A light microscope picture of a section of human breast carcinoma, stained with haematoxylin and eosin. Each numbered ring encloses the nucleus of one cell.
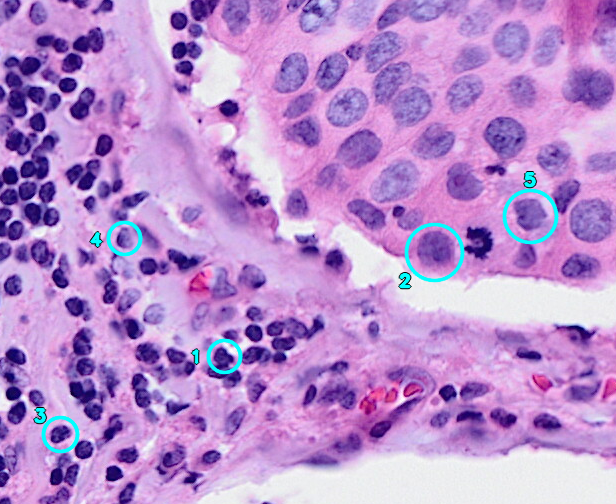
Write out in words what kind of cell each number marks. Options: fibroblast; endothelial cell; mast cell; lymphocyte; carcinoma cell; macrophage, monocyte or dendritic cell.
Cells 1, 3 and 4 are lymphocytes. Cells 2 and 5 are carcinoma cells.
